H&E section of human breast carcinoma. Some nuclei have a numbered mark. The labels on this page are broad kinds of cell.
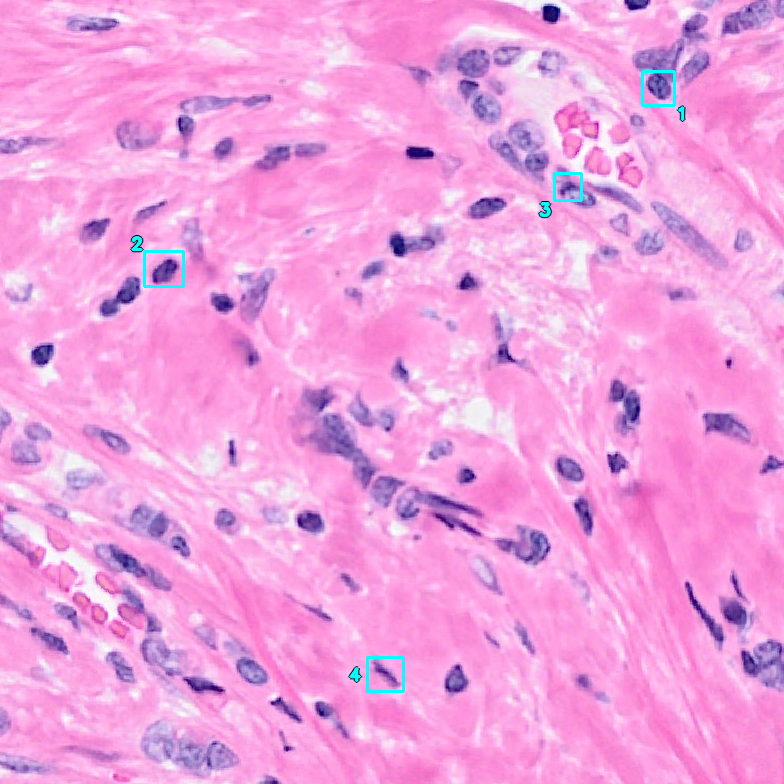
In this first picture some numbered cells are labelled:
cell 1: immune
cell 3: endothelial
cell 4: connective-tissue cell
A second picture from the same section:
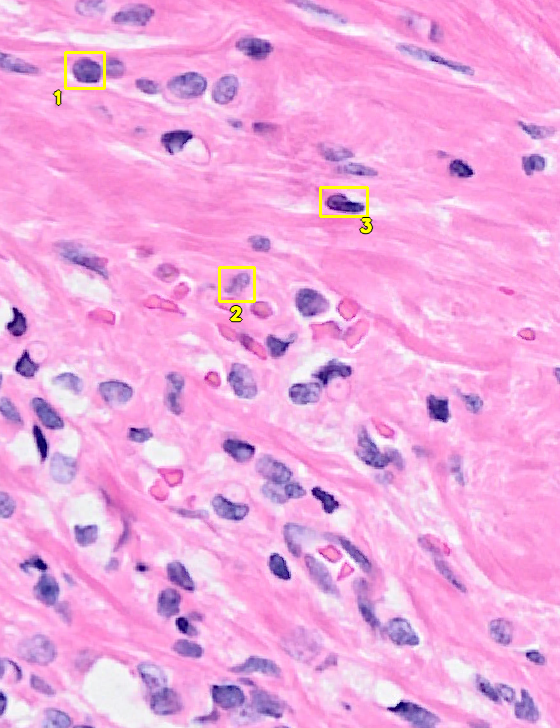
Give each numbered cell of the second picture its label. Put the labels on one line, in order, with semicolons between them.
immune; endothelial; immune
